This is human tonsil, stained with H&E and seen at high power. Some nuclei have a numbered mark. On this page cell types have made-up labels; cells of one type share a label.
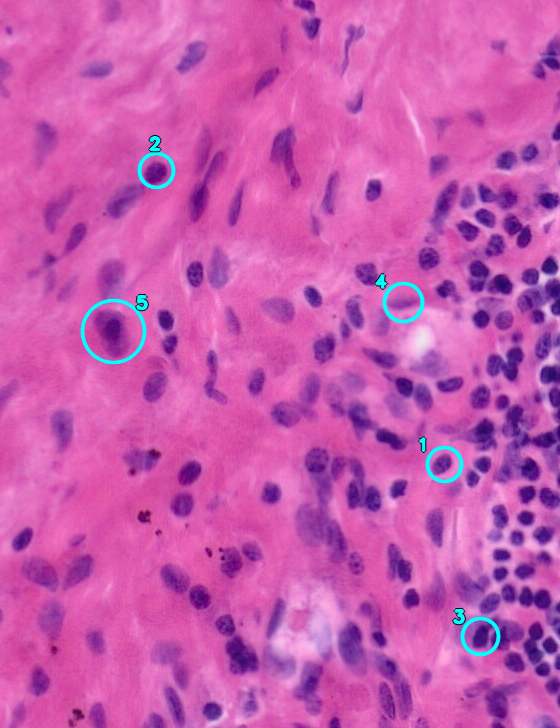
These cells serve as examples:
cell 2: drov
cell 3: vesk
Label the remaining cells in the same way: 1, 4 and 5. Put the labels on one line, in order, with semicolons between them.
drov; vesk; vesk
